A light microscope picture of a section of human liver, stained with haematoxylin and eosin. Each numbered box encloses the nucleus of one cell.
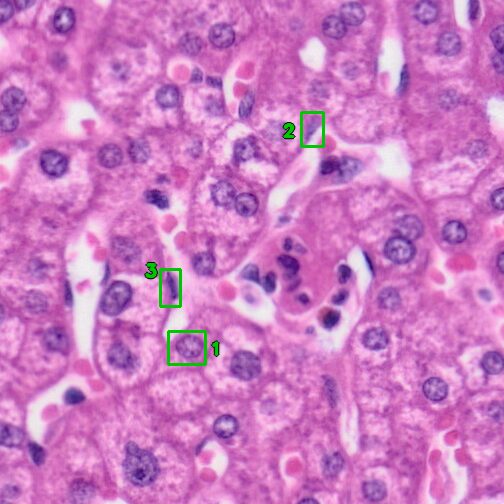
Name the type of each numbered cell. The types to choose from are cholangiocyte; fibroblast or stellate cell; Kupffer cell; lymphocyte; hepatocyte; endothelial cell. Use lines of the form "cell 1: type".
cell 1: hepatocyte
cell 2: endothelial cell
cell 3: endothelial cell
